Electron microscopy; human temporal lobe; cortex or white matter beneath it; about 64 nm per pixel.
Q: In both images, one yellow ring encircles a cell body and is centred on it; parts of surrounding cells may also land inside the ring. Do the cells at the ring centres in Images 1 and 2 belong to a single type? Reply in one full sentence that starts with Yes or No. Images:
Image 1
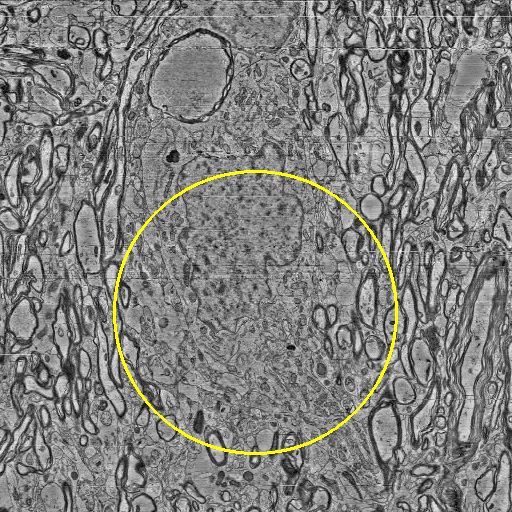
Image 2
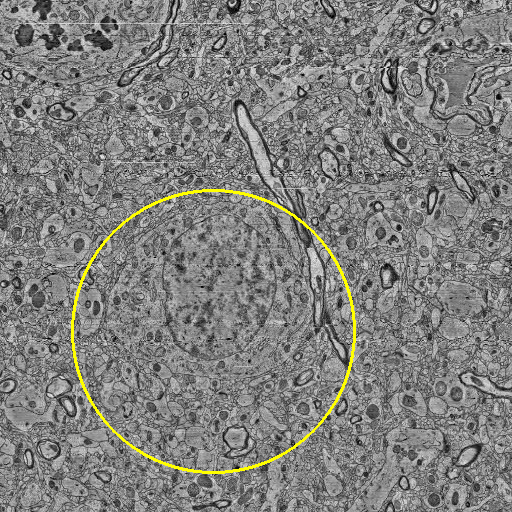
Yes, the cells at the ring centres in Images 1 and 2 are of a single type.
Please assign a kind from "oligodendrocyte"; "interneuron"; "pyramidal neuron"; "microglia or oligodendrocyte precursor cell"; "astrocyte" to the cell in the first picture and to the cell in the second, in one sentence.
In the first picture and in the second, the ring is centred on an interneuron.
